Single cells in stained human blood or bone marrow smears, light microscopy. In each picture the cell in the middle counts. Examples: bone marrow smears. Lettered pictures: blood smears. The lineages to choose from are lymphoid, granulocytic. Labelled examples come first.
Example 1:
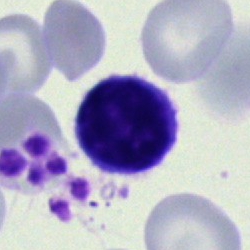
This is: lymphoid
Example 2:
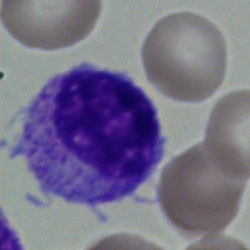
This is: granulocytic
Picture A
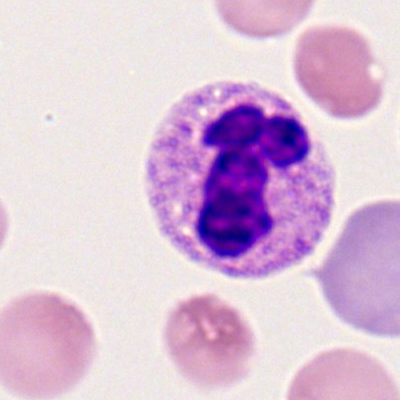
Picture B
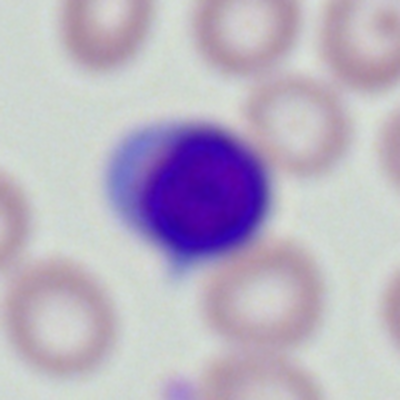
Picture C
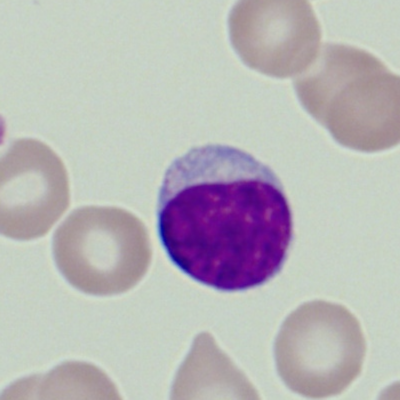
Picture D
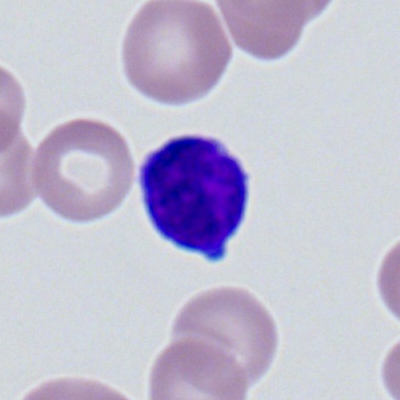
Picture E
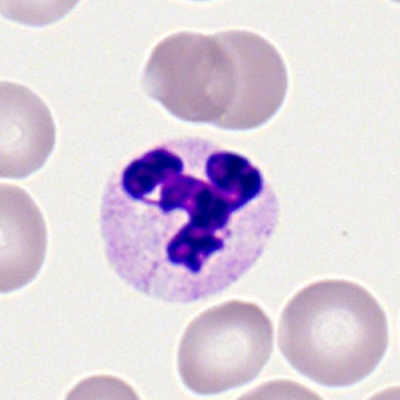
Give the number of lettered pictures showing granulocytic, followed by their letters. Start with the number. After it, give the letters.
2, namely A, E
